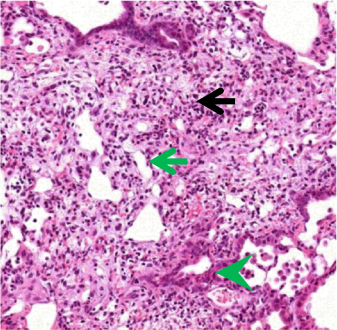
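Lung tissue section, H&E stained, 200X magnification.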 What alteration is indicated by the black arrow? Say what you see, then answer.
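Alveolar spaces are almost absent around the arrow. Many scattered elongated nuclei lie in the matrix.
Answer: fibrosis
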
